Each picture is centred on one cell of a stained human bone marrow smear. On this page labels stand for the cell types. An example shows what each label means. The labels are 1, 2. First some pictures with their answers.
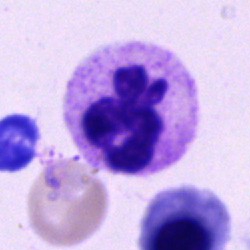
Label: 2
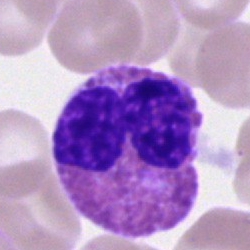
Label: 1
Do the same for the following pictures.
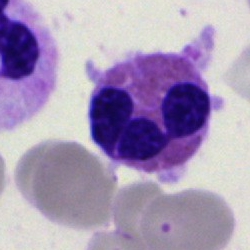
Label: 1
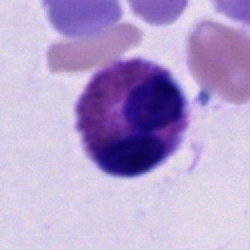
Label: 1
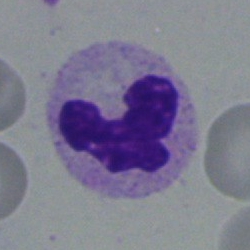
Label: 2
